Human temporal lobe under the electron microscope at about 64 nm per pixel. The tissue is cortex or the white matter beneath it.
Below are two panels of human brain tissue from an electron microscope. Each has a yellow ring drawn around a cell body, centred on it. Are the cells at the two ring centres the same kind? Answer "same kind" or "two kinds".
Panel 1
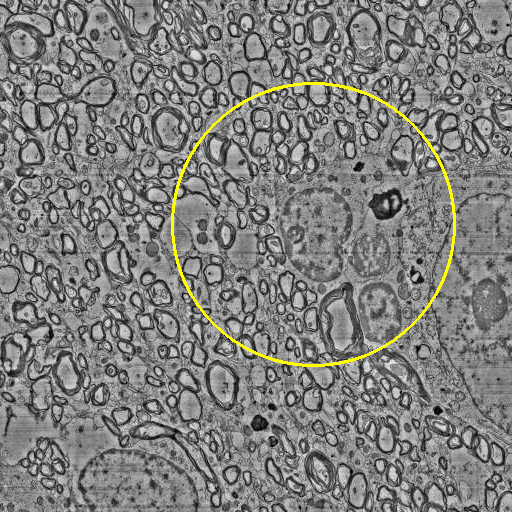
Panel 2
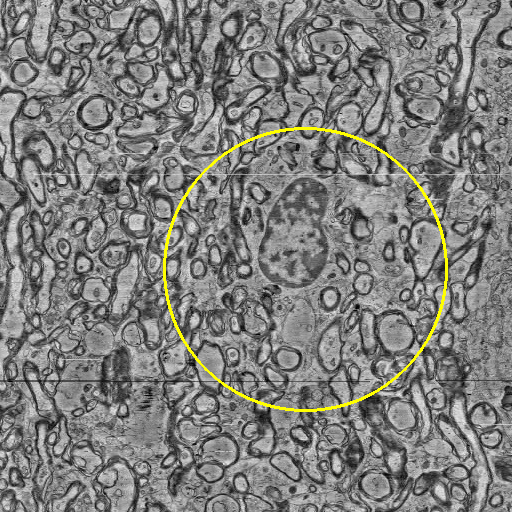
two kinds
